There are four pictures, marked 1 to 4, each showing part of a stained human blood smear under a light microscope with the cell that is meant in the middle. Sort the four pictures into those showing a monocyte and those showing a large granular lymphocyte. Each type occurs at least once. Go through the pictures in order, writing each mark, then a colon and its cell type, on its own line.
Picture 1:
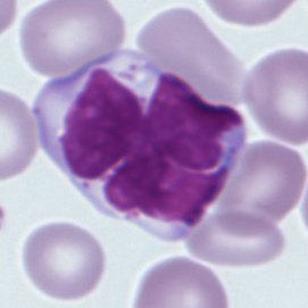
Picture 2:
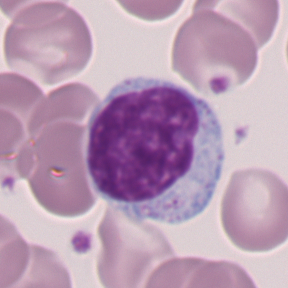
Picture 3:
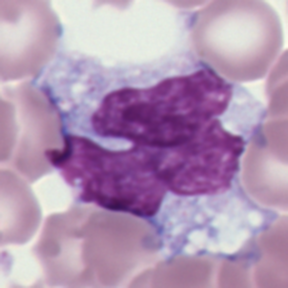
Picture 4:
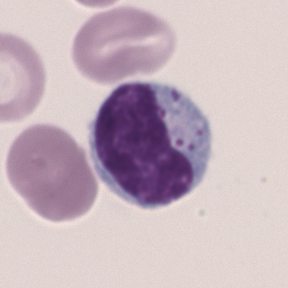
1: large granular lymphocyte
2: large granular lymphocyte
3: monocyte
4: large granular lymphocyte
